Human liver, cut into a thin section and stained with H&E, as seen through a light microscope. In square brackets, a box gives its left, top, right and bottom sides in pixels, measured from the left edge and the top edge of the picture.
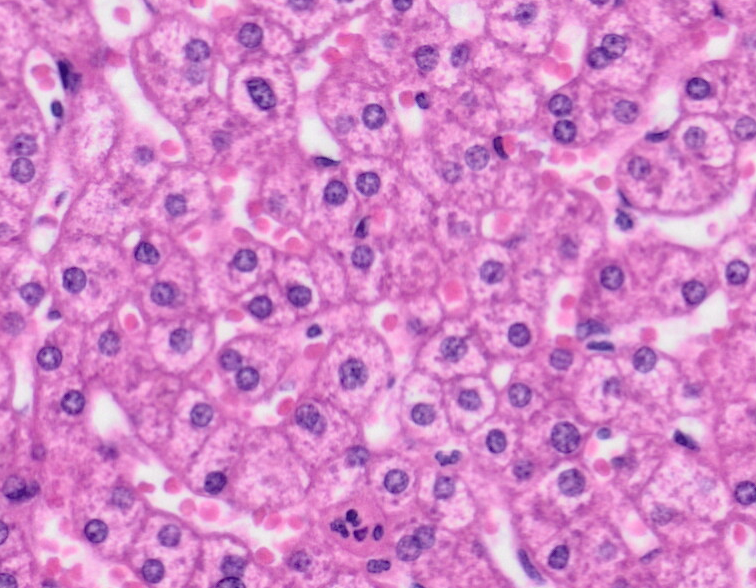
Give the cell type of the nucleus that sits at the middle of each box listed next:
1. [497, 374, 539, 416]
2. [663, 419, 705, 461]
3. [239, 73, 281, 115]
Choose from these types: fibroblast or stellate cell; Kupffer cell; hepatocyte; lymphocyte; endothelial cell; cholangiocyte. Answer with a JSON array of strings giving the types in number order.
["hepatocyte", "endothelial cell", "hepatocyte"]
